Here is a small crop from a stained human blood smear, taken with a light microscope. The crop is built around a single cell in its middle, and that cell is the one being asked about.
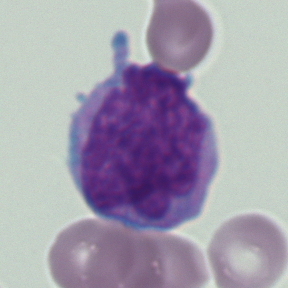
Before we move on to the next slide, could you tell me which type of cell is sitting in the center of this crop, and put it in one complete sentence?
Standing at the centre of this crop is an atypical promyelocyte.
